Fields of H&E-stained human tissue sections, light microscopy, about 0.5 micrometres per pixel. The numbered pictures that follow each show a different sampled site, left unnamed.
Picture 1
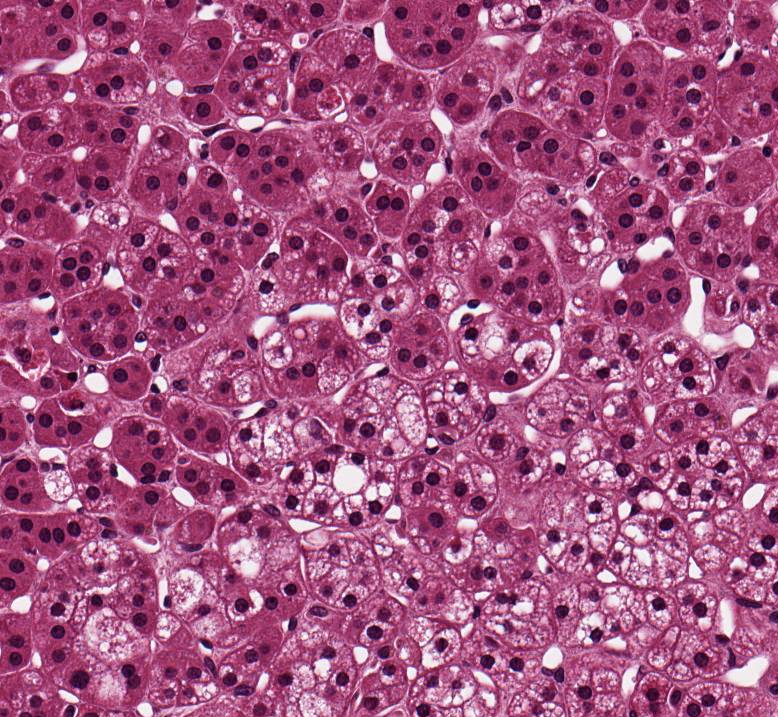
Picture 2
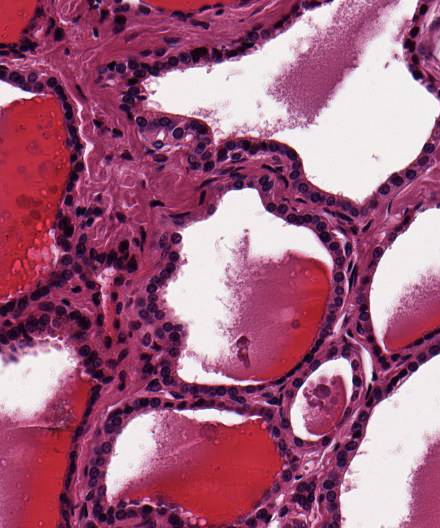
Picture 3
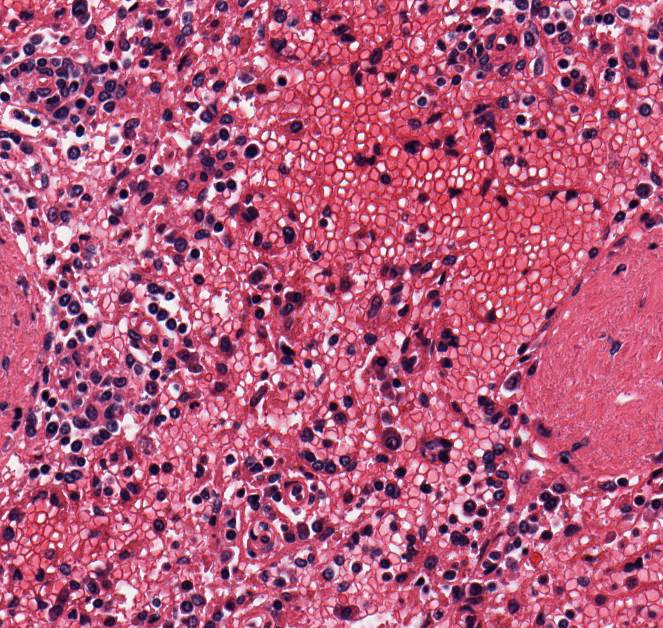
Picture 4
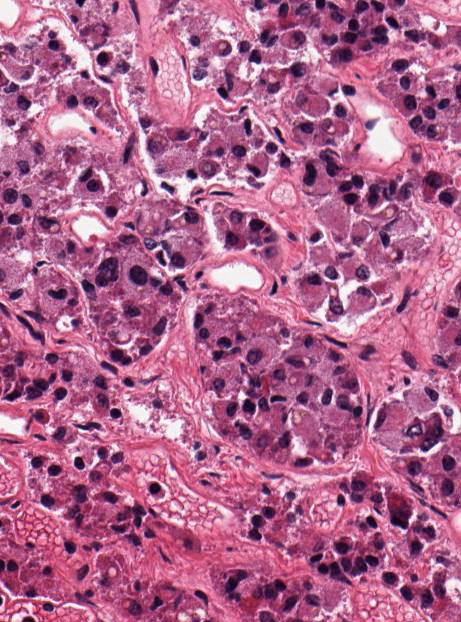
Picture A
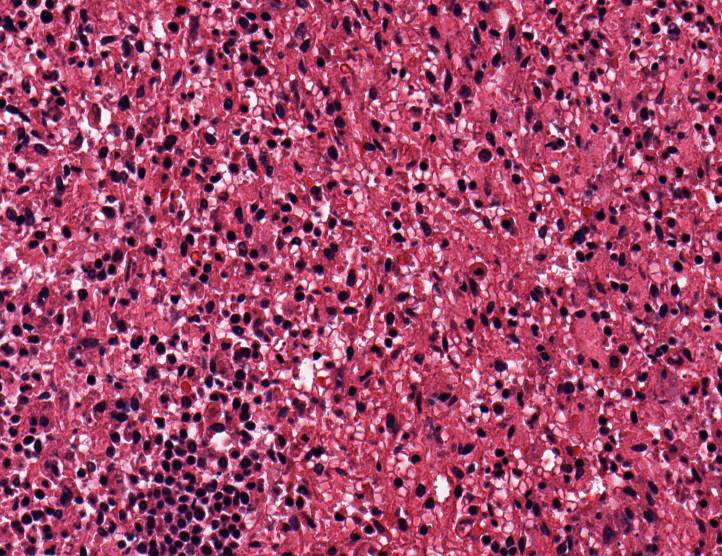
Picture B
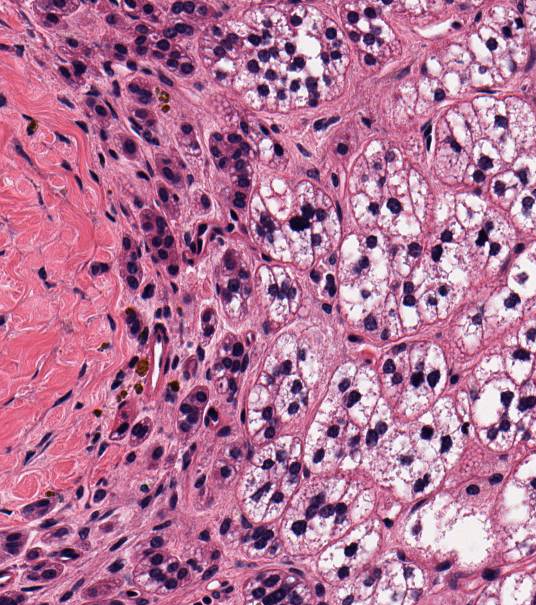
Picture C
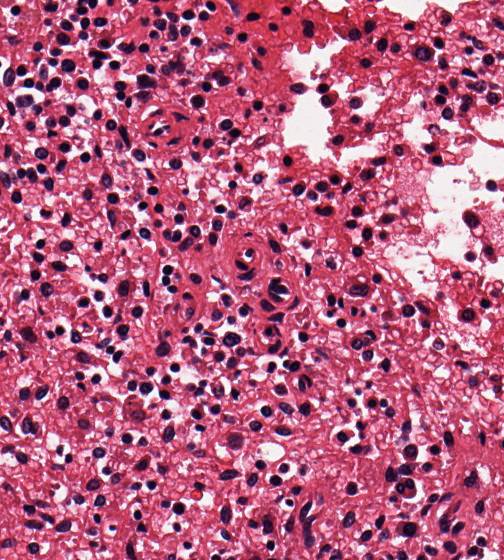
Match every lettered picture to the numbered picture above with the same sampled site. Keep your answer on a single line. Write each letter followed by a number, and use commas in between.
A 3, B 1, C 3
